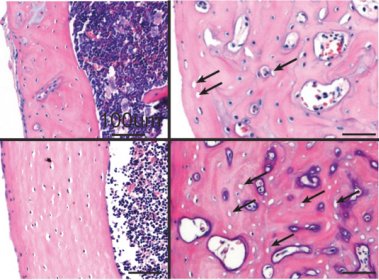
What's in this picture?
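These are sections of cortical bone in which osteocytes sit in lacunae within pink-stained matrix. On the right, the bone is more irregular, perforated by many rounded vascular spaces, some containing red blood cells. Lacunae here are more variable in size and shape, and several marked by arrows appear empty, lacking a nucleus. The lower right image shows darker purple-stained lines and seams scattered through the disorganised matrix.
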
